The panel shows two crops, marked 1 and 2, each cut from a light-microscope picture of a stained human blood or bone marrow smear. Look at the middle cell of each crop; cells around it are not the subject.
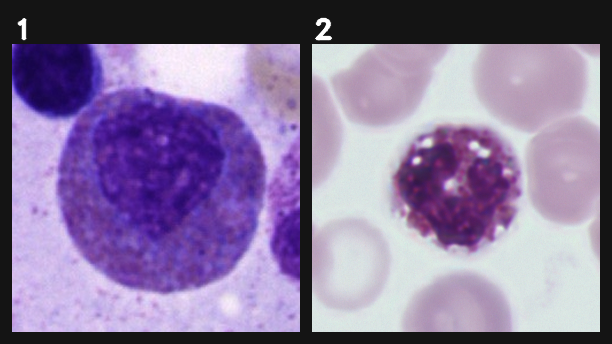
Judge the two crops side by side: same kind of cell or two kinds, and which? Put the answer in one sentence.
Yes, the middle cells in the two crops are eosinophils.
